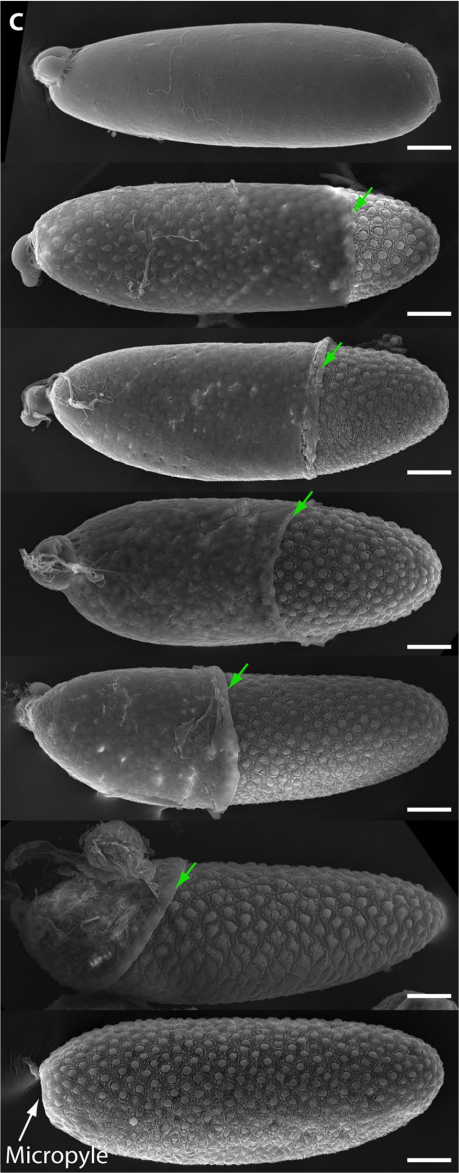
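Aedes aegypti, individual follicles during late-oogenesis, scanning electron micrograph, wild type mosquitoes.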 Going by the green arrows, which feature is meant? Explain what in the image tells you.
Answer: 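Each green arrow points to a ridge-like border where a smooth covering layer ends. On one side of the border the surface is smooth; on the other a honeycomb-patterned surface is exposed. The answer: leading edge of the follicular epithelial cell layer.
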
